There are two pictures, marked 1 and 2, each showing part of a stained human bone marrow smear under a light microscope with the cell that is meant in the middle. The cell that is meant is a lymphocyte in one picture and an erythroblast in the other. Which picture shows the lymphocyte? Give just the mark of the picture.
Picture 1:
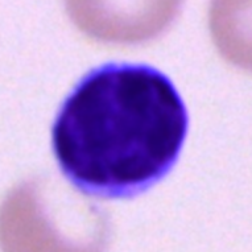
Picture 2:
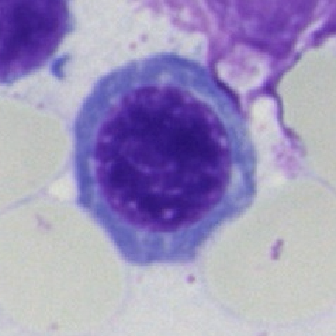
1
